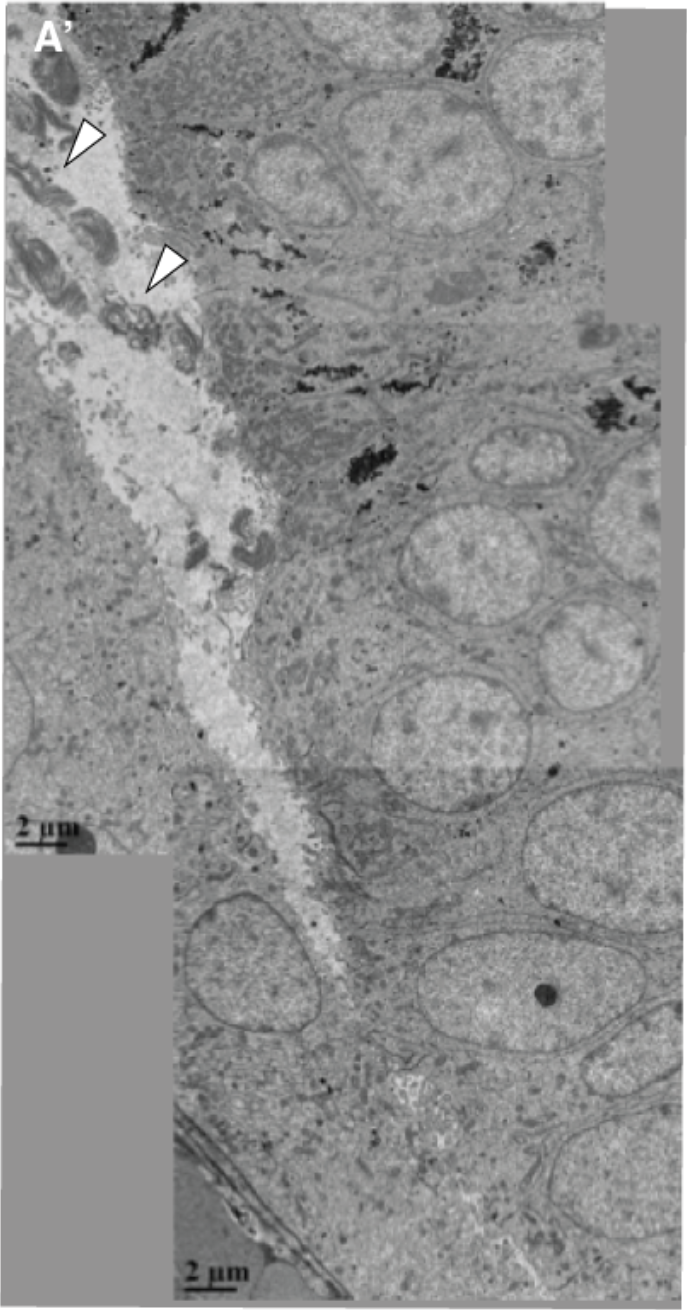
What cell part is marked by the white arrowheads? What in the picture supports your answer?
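Arrowheads point to elongated profiles made of stacked, layered membranes. These profiles lie in a pale space at the edge of the cell layer. On this evidence: photoreceptor outer segments.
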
